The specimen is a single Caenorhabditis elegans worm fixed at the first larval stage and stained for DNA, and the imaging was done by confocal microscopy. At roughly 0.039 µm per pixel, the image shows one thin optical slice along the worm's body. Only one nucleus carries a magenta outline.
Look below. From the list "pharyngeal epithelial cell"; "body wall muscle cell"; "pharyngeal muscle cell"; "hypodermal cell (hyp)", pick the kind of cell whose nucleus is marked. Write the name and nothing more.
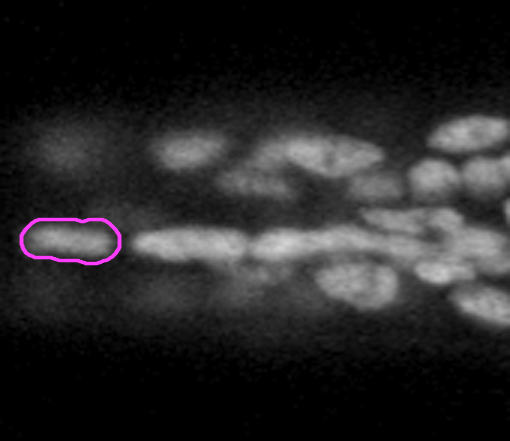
pharyngeal epithelial cell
